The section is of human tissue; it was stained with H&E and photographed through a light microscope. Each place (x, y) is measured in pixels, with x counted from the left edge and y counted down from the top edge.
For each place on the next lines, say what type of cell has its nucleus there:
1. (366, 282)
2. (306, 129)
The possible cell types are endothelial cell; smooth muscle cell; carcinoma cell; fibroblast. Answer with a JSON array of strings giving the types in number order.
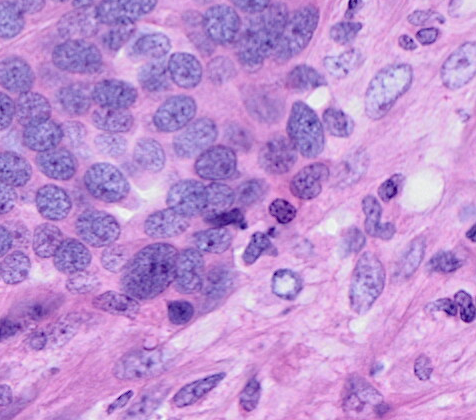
["fibroblast", "carcinoma cell"]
